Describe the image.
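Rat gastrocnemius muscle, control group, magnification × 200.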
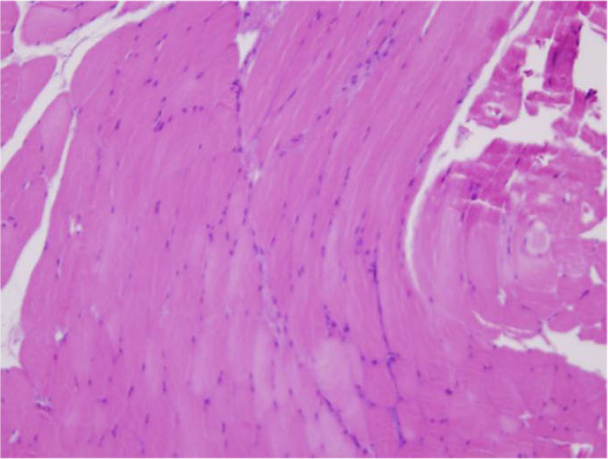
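Elongated dark purple nuclei lie along the fibers in rows at their edges. In the corners, some fibers are cut obliquely or transversely. The fibers lie tightly against one another, with only narrow spaces between them.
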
